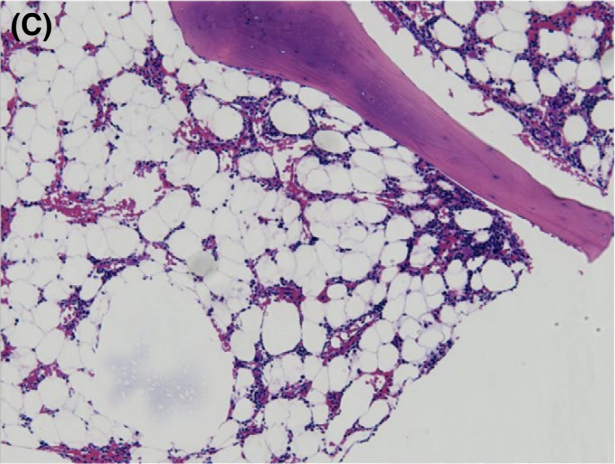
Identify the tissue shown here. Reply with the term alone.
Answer: Bone marrow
